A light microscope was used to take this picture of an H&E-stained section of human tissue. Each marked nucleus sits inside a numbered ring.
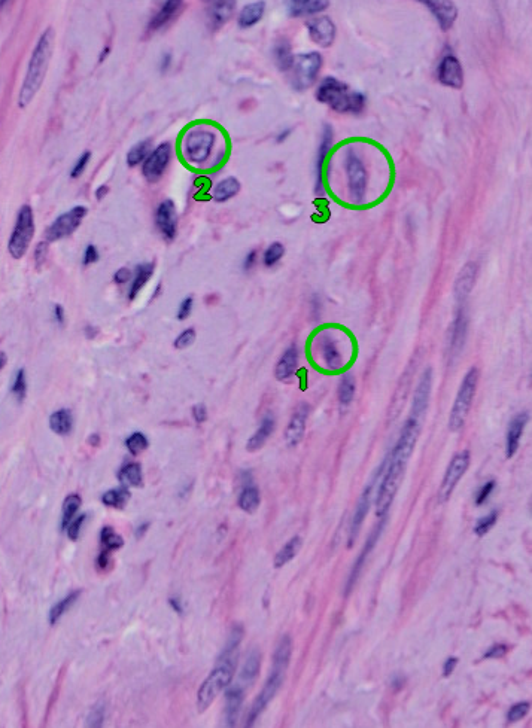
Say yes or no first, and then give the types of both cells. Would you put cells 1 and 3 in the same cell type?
Yes, cells 1 and 3 both fall under smooth muscle cells.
